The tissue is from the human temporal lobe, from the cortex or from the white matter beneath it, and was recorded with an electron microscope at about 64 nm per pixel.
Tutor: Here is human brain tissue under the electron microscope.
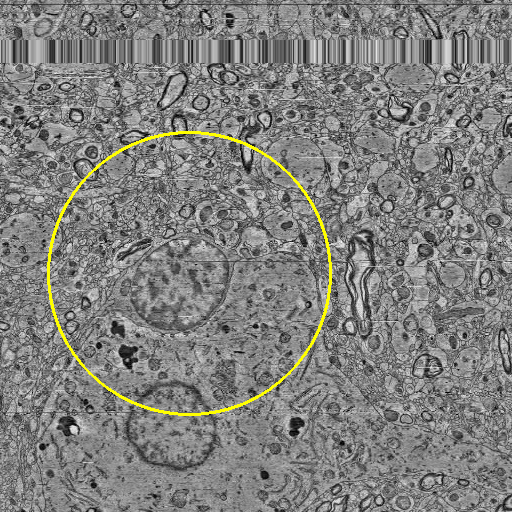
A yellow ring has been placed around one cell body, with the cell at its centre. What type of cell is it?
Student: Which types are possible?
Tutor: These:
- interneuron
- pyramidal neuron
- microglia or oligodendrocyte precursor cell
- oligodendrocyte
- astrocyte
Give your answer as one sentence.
What the ring picks out here is an oligodendrocyte.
